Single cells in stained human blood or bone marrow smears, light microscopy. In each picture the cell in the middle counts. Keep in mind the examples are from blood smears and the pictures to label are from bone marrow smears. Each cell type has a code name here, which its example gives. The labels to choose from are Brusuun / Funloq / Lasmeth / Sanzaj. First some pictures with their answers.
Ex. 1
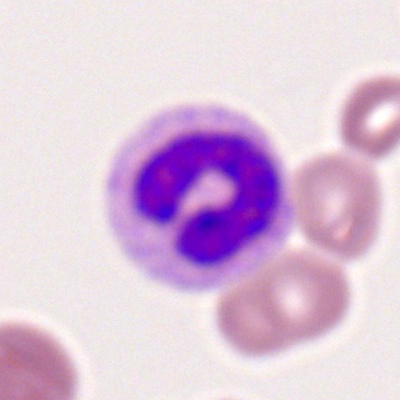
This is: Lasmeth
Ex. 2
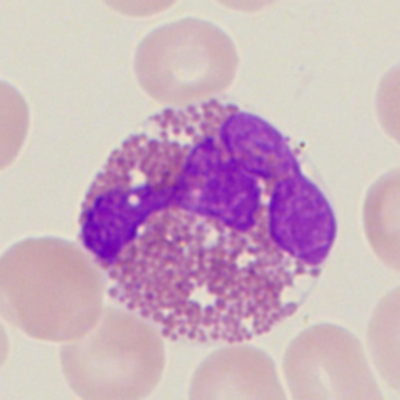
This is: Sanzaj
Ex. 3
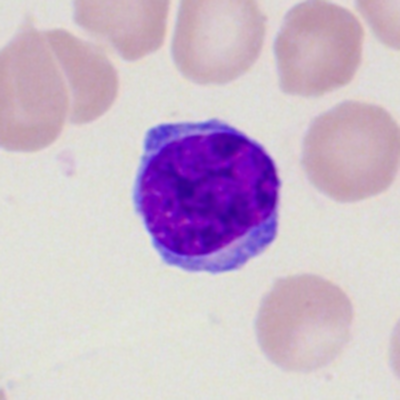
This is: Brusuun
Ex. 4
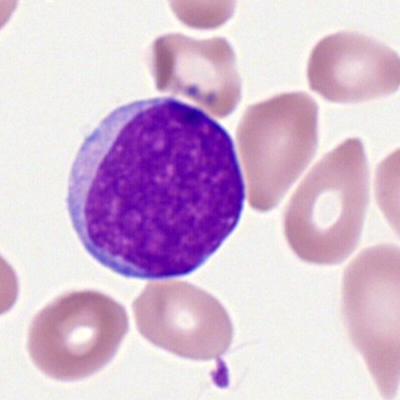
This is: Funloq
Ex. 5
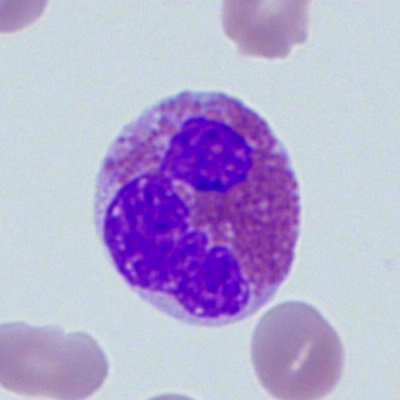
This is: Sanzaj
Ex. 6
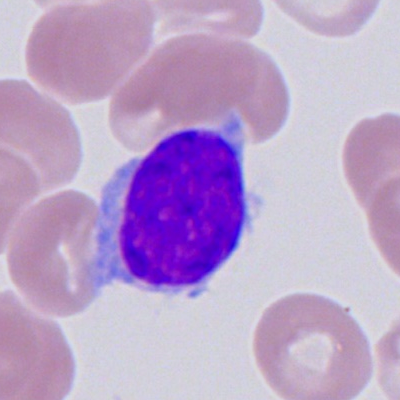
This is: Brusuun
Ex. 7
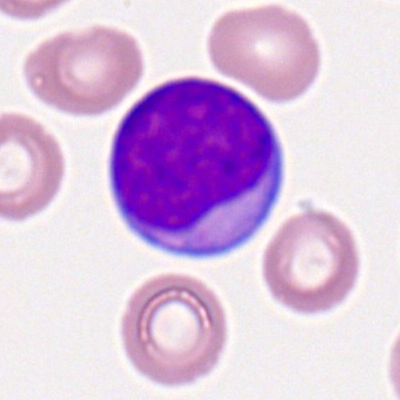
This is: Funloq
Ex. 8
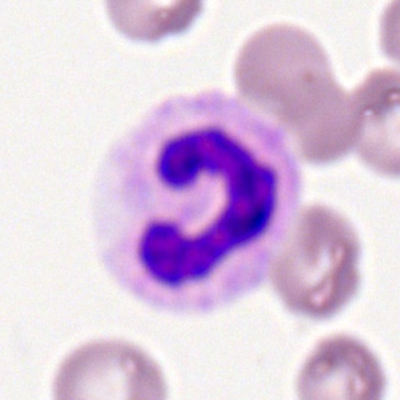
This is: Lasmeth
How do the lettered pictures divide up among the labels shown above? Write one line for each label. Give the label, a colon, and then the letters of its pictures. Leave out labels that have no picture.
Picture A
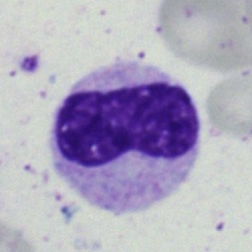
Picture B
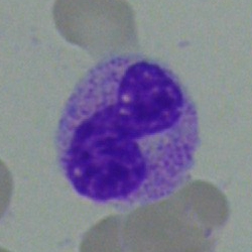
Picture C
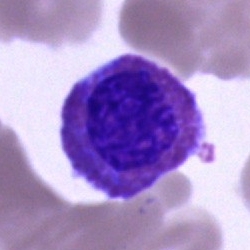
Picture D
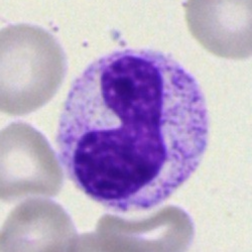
Lasmeth: A, B, D
Sanzaj: C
